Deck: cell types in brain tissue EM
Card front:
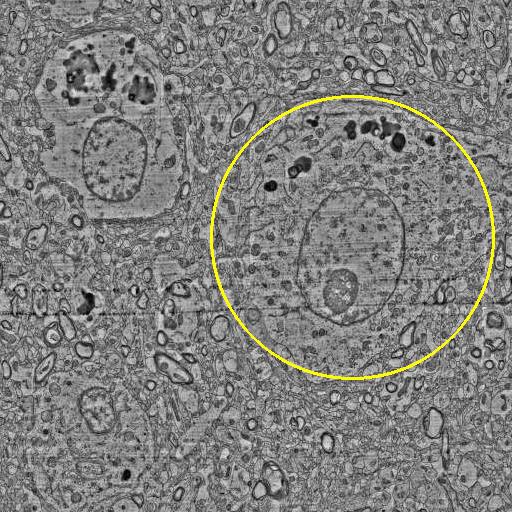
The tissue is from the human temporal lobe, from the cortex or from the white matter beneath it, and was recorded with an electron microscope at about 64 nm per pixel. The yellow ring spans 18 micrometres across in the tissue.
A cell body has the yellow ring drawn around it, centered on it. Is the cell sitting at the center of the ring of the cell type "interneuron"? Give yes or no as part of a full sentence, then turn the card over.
No, on this card the yellow ring is centered on a cell of a different type.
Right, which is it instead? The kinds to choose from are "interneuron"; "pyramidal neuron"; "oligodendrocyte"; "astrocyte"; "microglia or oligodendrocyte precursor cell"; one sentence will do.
The answer is that the ringed cell is a pyramidal neuron.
